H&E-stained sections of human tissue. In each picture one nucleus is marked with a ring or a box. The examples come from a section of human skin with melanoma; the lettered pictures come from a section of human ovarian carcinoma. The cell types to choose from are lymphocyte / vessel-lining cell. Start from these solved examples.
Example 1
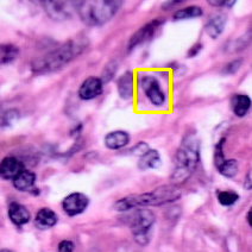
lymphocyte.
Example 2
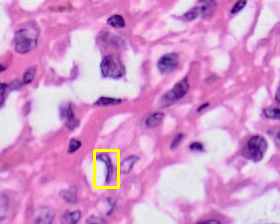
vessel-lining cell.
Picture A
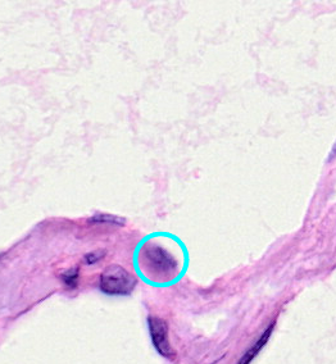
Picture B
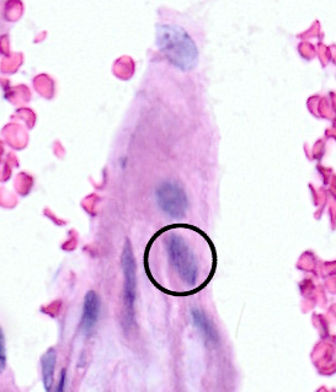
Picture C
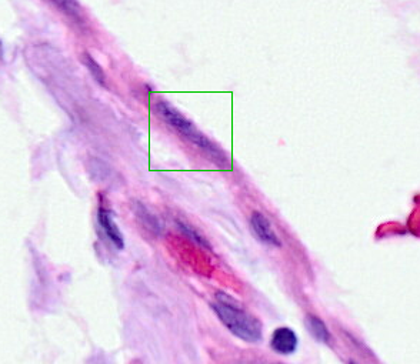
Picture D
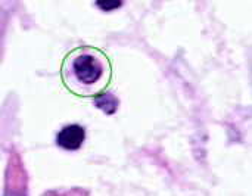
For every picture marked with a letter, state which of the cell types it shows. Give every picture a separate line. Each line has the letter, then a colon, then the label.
A: vessel-lining cell.
B: vessel-lining cell.
C: vessel-lining cell.
D: lymphocyte.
